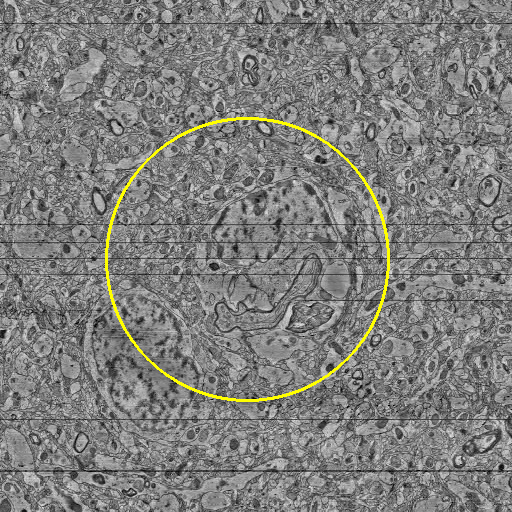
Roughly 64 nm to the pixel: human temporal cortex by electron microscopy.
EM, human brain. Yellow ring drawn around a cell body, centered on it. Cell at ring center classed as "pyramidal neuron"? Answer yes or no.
no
